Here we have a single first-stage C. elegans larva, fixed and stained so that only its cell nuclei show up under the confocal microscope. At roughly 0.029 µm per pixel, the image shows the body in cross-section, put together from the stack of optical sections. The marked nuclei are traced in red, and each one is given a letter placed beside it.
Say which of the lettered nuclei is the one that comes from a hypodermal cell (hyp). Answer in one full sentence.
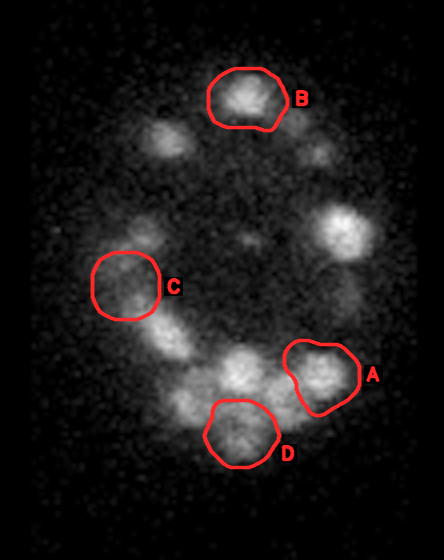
D is the nucleus of a hypodermal cell (hyp).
